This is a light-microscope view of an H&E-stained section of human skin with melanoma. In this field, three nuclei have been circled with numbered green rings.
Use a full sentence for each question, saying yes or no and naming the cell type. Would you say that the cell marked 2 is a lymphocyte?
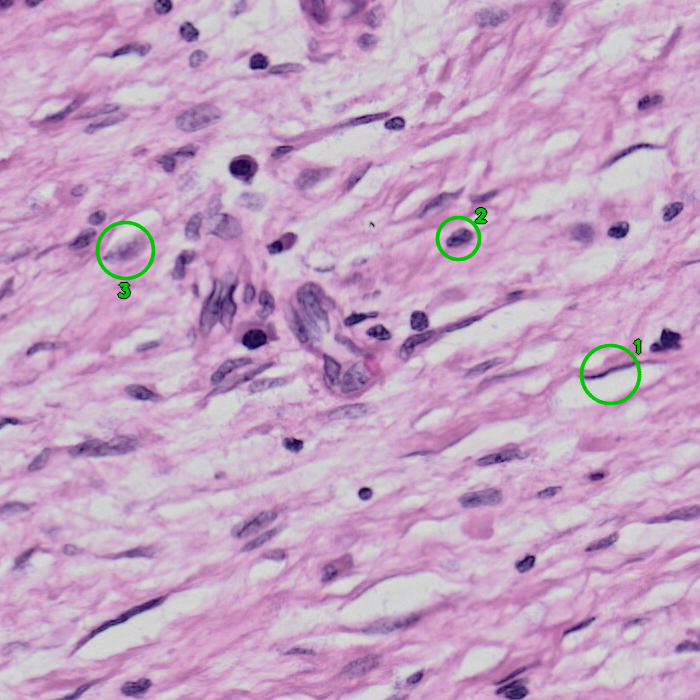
Yes, the cell identified as number 2 is a lymphocyte.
